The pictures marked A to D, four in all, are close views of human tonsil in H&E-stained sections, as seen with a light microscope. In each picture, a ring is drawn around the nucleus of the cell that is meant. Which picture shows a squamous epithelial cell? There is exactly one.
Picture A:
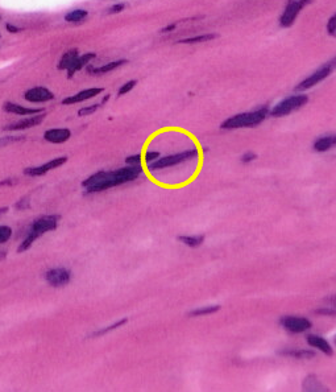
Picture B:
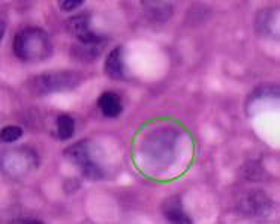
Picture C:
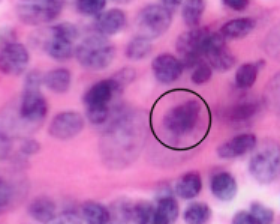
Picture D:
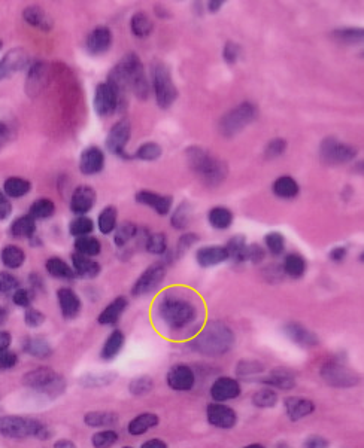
B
